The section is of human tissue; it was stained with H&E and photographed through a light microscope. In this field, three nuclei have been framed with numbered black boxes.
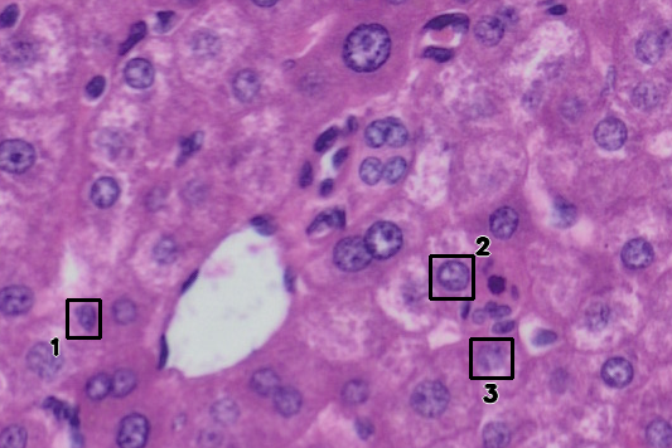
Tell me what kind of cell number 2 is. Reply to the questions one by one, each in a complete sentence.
Cell 2, as marked in the section, is a hepatocyte.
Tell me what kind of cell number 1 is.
The expected answer is that cell 1 is a fibroblast or stellate cell.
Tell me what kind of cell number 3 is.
Looking at the numbered marks, cell 3 is a hepatocyte.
